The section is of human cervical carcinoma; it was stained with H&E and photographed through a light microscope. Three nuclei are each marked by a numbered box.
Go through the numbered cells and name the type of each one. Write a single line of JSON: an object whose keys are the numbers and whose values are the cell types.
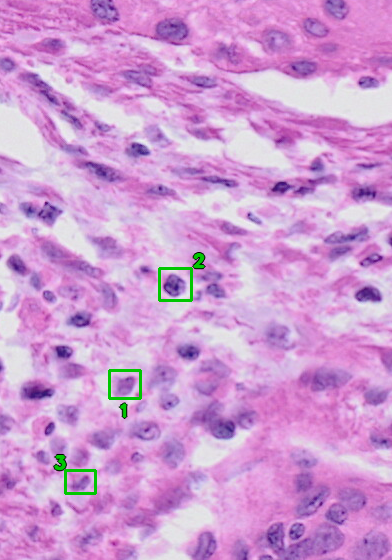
{"1": "fibroblast", "2": "lymphocyte", "3": "fibroblast"}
